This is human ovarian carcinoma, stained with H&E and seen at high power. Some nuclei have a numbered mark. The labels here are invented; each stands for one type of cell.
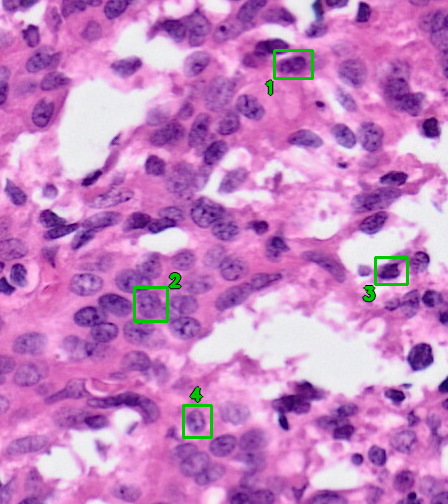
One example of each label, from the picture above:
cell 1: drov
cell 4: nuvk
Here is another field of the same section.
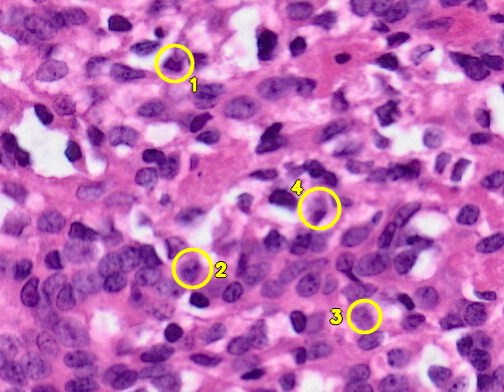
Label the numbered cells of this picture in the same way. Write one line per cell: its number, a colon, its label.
1: drov
2: nuvk
3: drov
4: drov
